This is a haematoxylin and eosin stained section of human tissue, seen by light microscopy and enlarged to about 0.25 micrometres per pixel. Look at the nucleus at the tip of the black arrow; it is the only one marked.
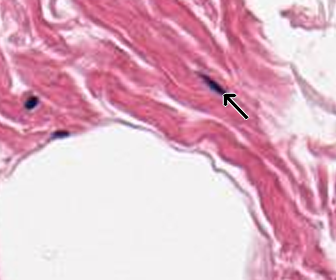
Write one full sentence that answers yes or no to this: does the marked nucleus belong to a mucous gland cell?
No, a mucous gland cell does not own the marked nucleus, which belongs to a supporting cell.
